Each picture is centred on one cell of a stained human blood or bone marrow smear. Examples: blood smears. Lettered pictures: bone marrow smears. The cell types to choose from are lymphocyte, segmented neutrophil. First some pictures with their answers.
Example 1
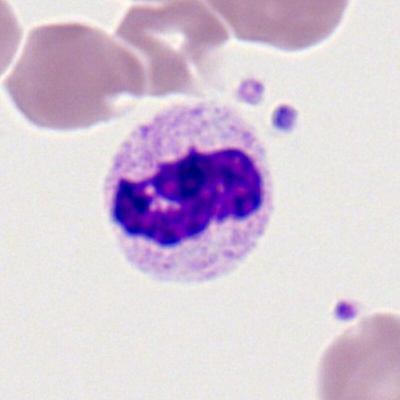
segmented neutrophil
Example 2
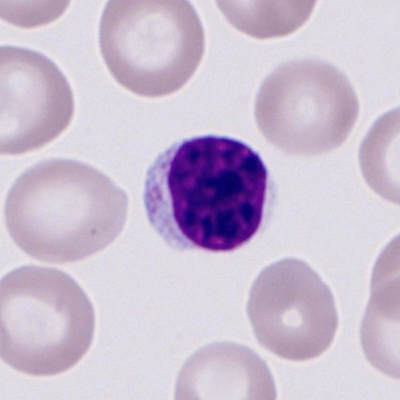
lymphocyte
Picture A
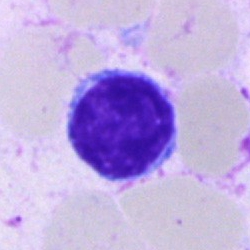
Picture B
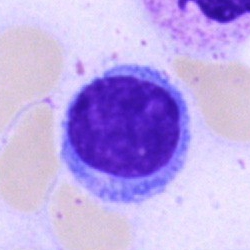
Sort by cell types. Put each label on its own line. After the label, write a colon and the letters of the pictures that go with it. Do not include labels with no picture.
lymphocyte: A, B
